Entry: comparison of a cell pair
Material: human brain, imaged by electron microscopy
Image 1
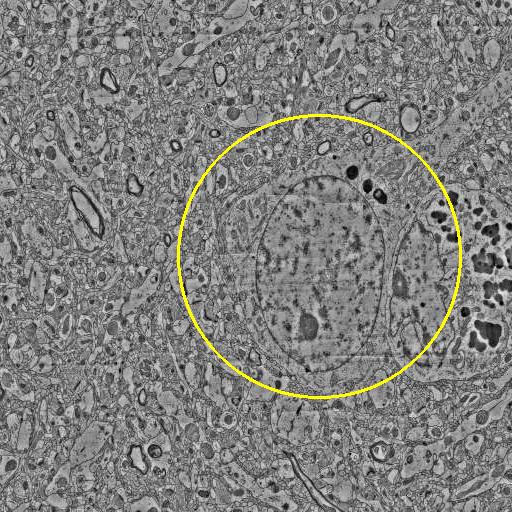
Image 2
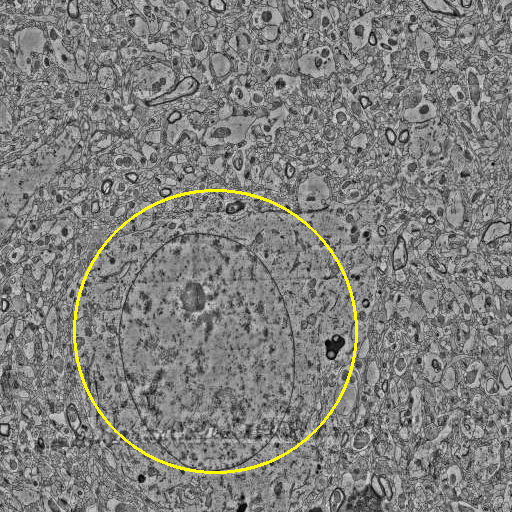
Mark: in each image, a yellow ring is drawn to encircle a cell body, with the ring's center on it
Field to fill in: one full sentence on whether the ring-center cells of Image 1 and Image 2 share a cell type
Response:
Yes, Image 1 and Image 2 each show a ring-center cell of one shared type.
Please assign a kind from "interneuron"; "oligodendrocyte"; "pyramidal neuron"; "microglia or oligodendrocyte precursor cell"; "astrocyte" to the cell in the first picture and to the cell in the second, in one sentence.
Each of the two pictures has a pyramidal neuron at the ring centre.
